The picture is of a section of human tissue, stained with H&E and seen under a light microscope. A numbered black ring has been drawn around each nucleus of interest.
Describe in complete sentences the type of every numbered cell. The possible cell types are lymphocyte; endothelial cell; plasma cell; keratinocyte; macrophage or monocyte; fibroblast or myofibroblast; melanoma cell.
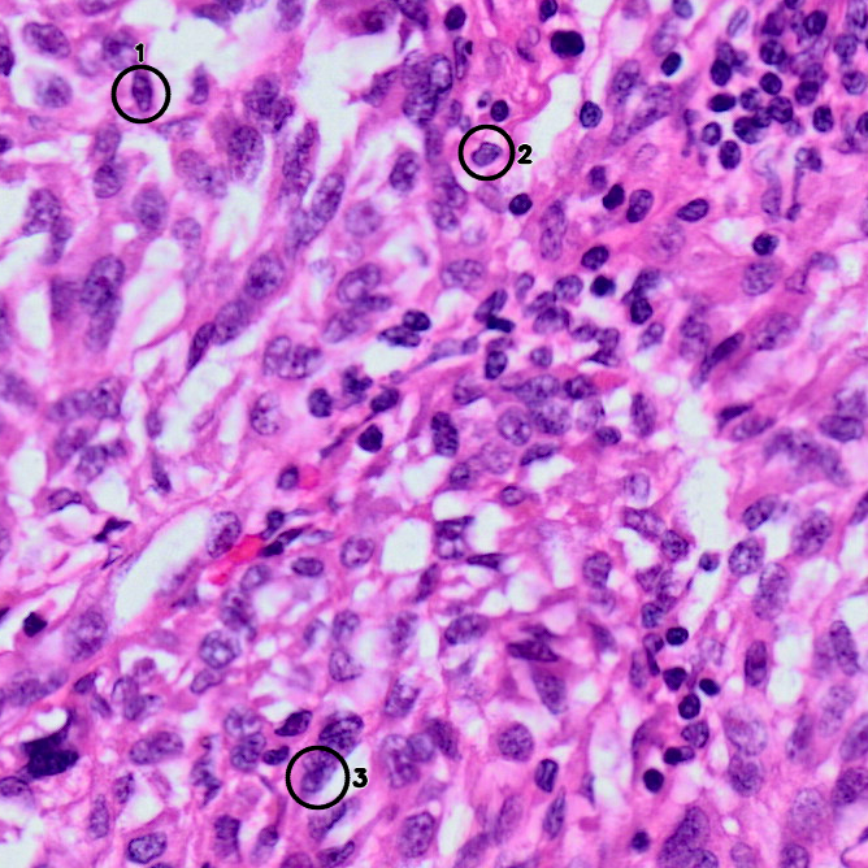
Cells 1 and 3 are melanoma cells. Cell 2 is a lymphocyte.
